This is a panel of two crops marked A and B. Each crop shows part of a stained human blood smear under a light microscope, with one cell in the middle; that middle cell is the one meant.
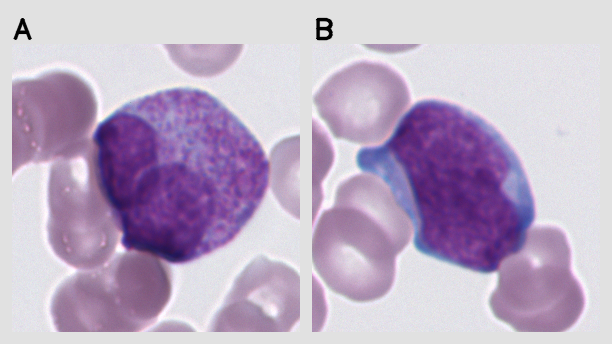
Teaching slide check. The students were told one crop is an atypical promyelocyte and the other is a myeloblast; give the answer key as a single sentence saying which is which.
Identified in crop A is an atypical promyelocyte, with a myeloblast identified in crop B.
